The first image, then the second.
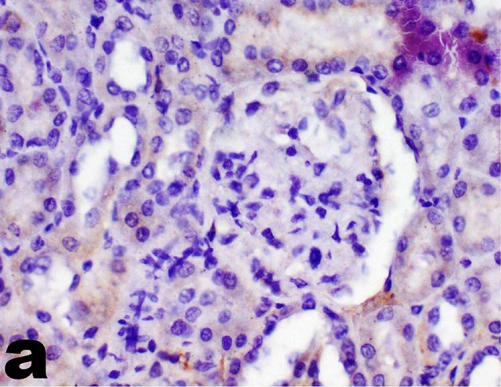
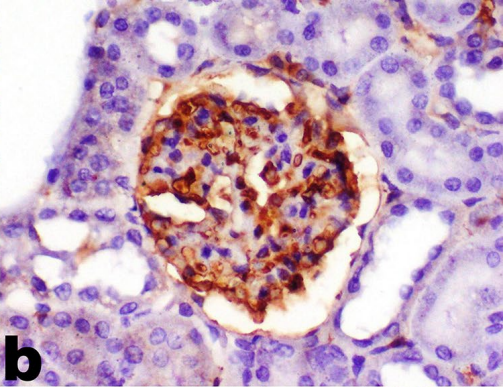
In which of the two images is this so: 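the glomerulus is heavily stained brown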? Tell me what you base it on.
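The second image. First image: the glomerulus shows only blue nuclei and pale cytoplasm with no brown stain.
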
